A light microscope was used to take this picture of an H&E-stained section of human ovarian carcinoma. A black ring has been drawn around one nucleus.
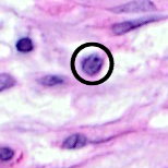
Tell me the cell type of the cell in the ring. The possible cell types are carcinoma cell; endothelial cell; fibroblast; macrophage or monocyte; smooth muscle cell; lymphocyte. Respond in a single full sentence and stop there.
On this particular slide, the cell in the ring is a lymphocyte.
